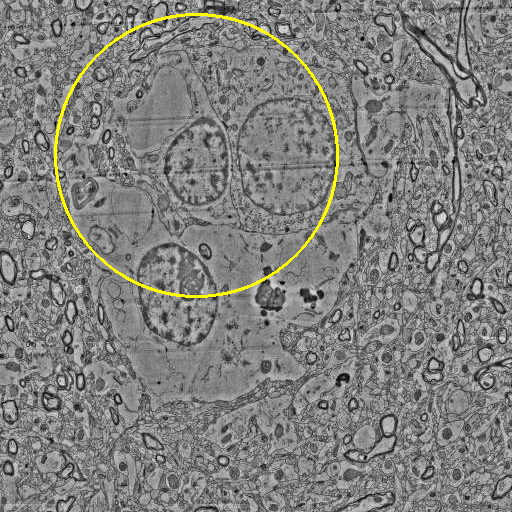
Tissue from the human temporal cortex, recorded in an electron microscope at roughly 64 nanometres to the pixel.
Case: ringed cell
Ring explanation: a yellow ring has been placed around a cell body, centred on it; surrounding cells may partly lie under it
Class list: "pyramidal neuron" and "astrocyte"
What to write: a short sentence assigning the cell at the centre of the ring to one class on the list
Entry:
The cell at the ring's centre is an astrocyte.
